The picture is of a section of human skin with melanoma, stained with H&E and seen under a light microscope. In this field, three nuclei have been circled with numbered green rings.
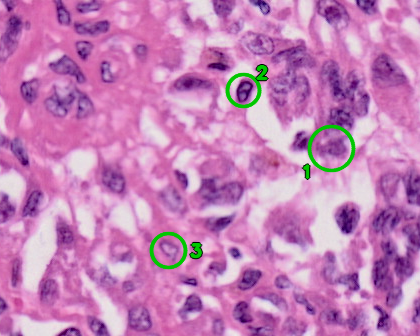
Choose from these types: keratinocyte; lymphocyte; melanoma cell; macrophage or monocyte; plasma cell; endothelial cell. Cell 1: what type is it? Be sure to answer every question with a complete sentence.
The marked cell with the number 1 is recognised as a melanoma cell.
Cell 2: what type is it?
Cell number 2 in this section is a macrophage or monocyte.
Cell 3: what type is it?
Number 3 among the marked cells is a macrophage or monocyte.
